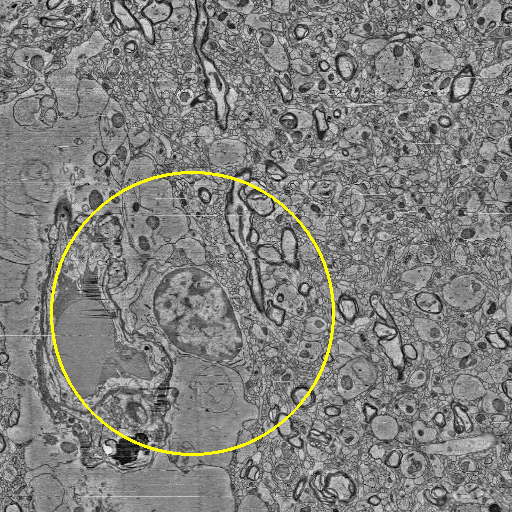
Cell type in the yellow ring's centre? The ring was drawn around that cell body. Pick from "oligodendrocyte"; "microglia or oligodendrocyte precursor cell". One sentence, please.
The ringed cell body is that of a microglial cell or oligodendrocyte precursor cell.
